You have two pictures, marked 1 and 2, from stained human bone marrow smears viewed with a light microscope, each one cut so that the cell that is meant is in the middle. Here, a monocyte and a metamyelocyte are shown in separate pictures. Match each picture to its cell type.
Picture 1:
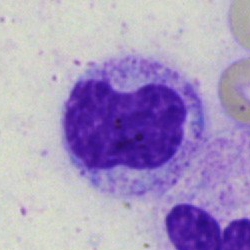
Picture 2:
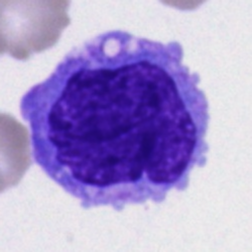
1: metamyelocyte
2: monocyte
